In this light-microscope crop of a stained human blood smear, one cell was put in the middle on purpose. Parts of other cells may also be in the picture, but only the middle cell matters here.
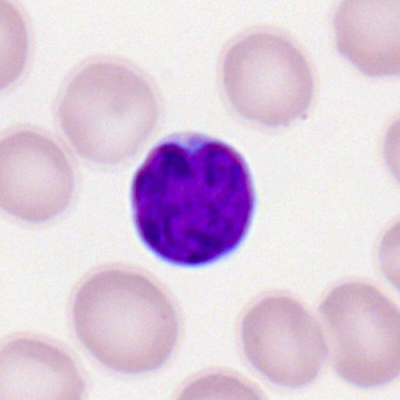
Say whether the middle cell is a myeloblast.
no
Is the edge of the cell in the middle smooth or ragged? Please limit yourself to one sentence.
Its surface contour is regular and smooth, without any protrusions.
